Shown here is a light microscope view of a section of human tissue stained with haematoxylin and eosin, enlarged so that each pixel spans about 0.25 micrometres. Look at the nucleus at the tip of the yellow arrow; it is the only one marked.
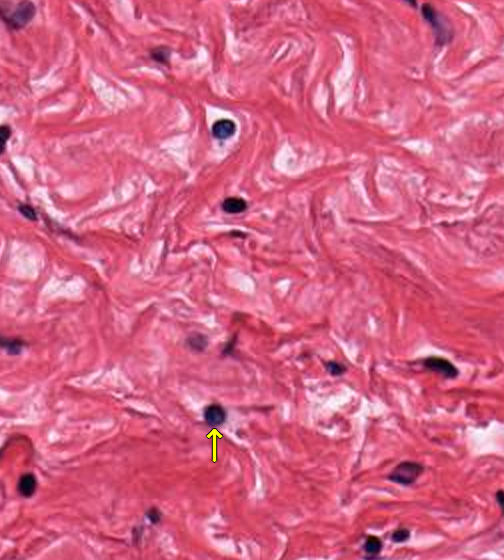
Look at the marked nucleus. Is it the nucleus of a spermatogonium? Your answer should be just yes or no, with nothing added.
no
